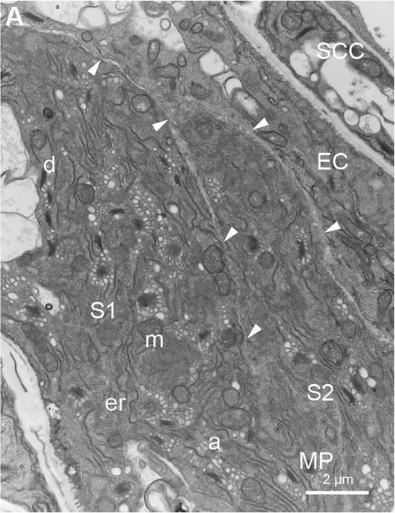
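Transmission electron micrograph of adjoining synergids with dense, organelle-rich cytoplasm. Many round mitochondria, stacked dictyosomes and extensive endoplasmic reticulum profiles fill the cells, together with clusters of small pale vesicular bodies. Thin, irregular pale lines run diagonally through the field where the walls between adjacent cells lie. At the upper right edge, neighbouring cells with pale, vacuolated contents border the field.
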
